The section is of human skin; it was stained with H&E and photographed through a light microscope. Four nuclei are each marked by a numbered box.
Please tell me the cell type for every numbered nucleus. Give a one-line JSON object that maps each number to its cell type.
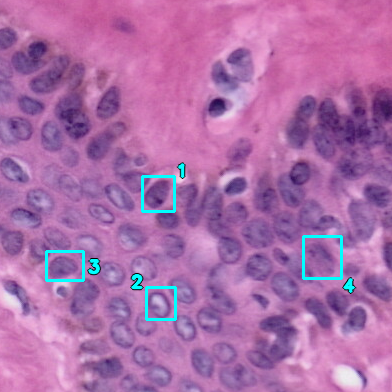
{"1": "basal keratinocyte", "2": "suprabasal keratinocyte", "3": "basal keratinocyte", "4": "basal keratinocyte"}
